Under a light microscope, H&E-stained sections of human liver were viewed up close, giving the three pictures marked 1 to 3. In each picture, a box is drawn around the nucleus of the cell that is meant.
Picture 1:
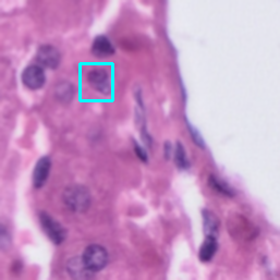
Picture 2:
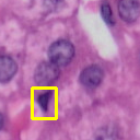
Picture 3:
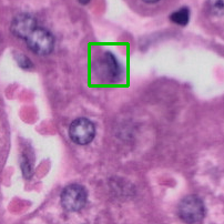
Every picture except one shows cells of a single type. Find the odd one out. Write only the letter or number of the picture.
3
